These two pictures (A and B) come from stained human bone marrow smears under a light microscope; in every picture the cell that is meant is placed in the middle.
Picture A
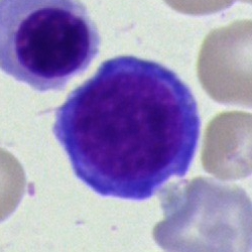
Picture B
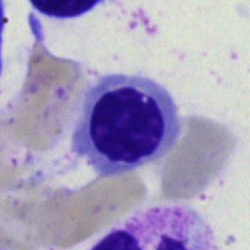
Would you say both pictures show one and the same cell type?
yes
